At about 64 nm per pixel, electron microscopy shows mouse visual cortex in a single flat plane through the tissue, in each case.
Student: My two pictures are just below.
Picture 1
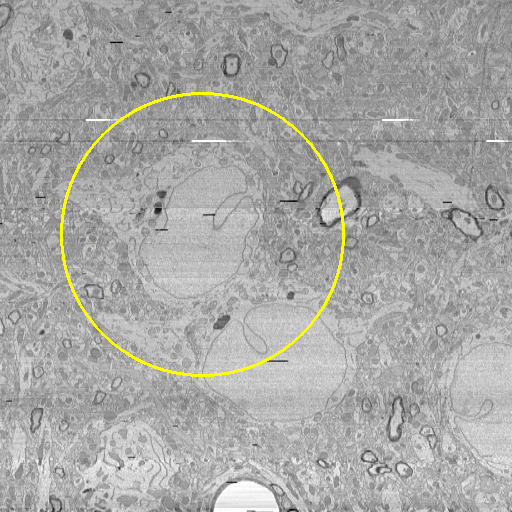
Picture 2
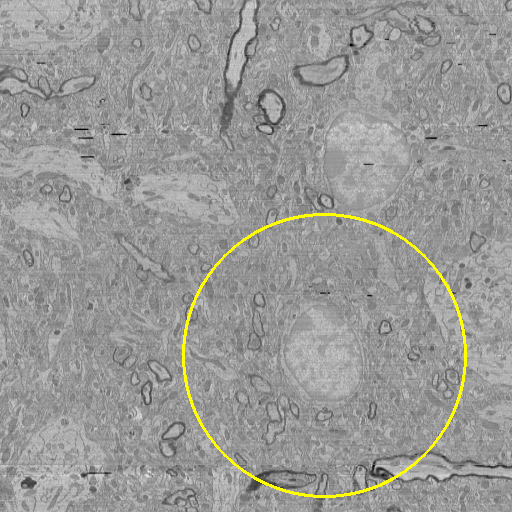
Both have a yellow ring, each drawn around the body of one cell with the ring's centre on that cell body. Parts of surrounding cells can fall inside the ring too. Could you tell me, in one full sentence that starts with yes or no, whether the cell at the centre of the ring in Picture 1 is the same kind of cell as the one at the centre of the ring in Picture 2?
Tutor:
No, the two cells are of two kinds.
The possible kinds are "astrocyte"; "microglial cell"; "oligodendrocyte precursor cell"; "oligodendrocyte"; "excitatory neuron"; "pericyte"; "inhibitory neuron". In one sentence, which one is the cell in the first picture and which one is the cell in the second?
The cell ringed in the second picture is an oligodendrocyte, whereas the one ringed in the first is an excitatory neuron.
